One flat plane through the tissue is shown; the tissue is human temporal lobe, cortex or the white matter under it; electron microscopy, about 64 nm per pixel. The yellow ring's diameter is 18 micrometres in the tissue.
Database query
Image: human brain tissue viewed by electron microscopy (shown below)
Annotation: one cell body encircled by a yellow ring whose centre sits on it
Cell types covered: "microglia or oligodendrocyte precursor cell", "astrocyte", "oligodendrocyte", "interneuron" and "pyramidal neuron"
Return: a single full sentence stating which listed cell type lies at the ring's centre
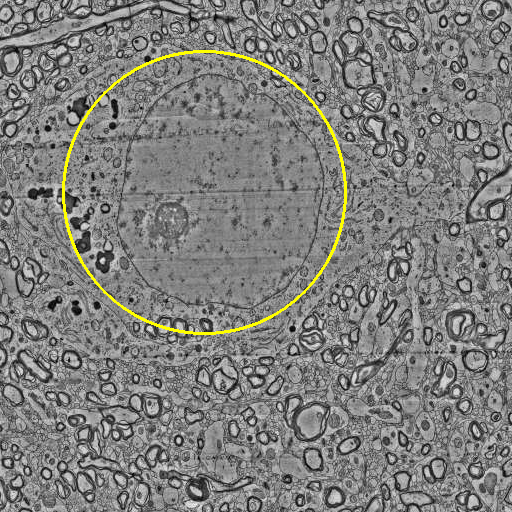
In the image, the cell lying at the ring's centre is a pyramidal neuron.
